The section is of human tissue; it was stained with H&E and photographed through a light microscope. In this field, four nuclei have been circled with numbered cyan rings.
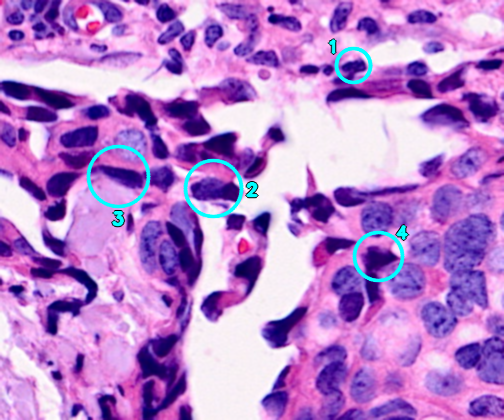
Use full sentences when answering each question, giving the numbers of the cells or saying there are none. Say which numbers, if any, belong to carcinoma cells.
The cells with labels 2, 3 and 4 are carcinoma cells.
